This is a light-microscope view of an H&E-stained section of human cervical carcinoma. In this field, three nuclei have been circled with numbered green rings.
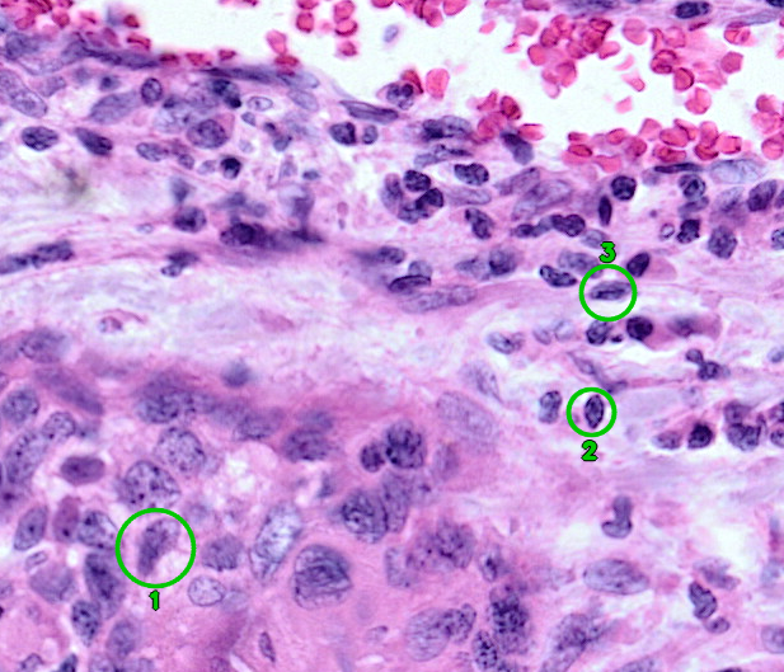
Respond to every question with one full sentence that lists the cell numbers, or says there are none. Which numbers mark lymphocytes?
On this slide, the cells numbered 2 and 3 are lymphocytes.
